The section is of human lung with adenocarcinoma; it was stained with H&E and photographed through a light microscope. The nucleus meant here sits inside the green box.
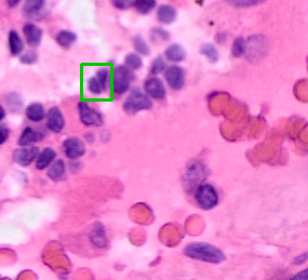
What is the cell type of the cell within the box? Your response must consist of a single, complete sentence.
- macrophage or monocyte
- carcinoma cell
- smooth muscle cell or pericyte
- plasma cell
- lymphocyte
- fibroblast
Right, so the cell within the box is a lymphocyte, to answer that.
